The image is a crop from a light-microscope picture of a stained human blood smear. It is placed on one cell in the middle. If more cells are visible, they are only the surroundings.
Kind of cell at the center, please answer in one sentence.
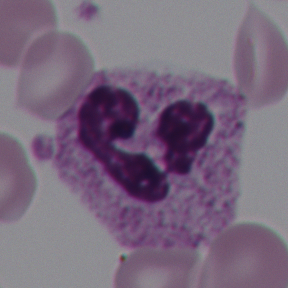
As for the cell in the middle, it is a segmented neutrophil.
